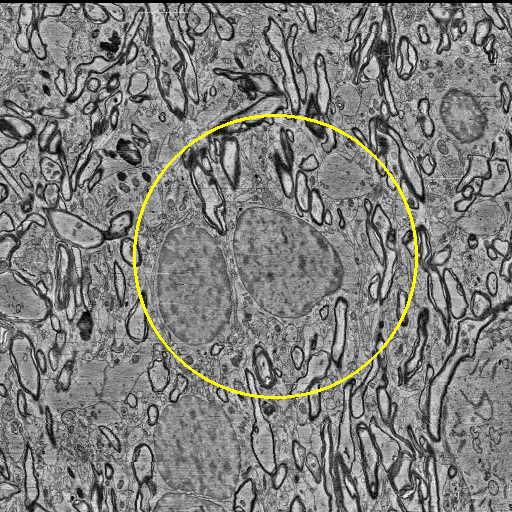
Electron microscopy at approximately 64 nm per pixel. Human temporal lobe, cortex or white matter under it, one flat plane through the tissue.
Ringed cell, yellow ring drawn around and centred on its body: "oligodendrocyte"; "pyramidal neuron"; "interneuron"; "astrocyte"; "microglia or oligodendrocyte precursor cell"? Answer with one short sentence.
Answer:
This ringed cell is a microglial cell or oligodendrocyte precursor cell.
